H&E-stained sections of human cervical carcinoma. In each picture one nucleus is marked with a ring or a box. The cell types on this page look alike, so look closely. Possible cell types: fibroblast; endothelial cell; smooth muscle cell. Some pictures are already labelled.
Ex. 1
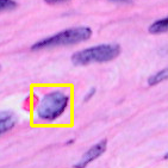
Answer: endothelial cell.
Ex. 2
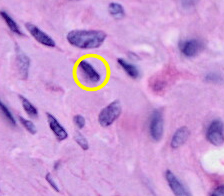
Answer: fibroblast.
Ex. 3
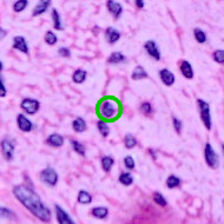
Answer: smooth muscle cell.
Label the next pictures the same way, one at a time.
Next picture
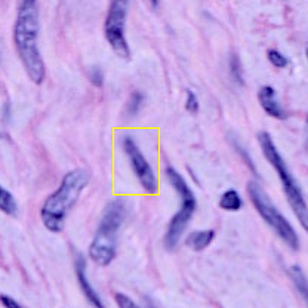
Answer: smooth muscle cell.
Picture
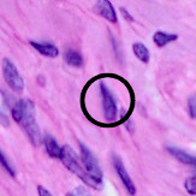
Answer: fibroblast.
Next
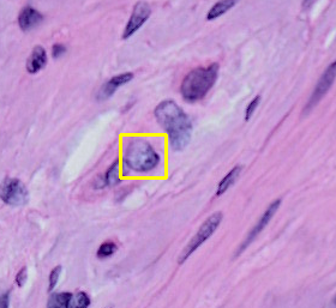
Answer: endothelial cell.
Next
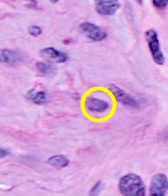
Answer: smooth muscle cell.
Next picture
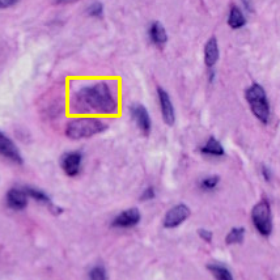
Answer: endothelial cell.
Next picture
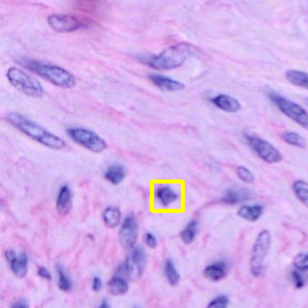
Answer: smooth muscle cell.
